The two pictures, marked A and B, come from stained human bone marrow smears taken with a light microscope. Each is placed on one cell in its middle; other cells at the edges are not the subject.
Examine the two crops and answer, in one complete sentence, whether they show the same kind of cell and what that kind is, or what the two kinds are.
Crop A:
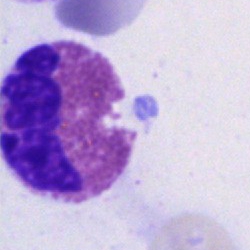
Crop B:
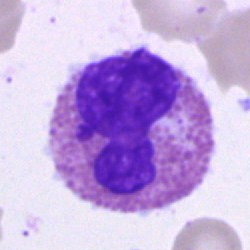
Yes, both crops, not just one, show eosinophils.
